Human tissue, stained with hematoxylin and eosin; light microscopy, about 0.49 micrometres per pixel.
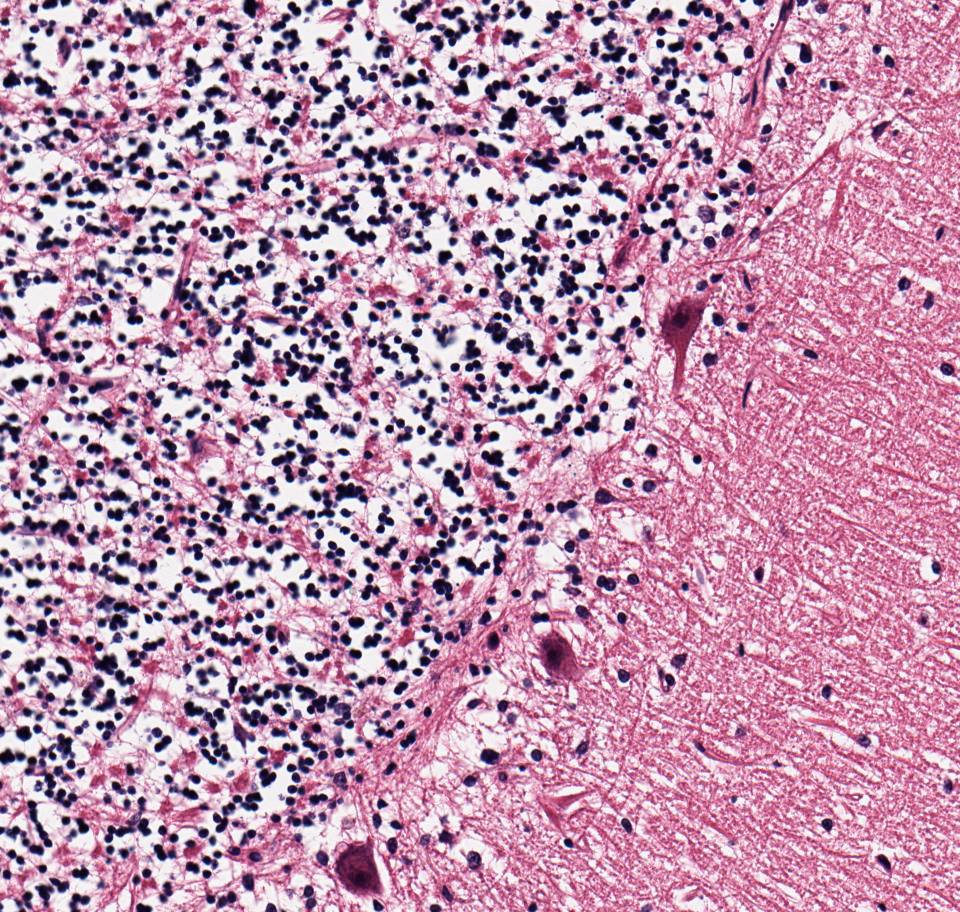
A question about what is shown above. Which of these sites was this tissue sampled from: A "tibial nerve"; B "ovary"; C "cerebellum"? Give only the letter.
C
